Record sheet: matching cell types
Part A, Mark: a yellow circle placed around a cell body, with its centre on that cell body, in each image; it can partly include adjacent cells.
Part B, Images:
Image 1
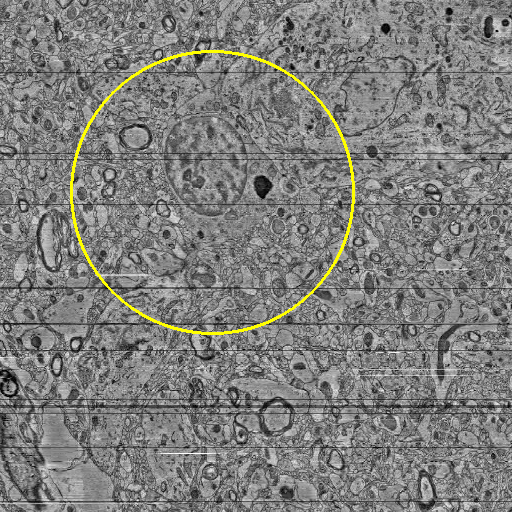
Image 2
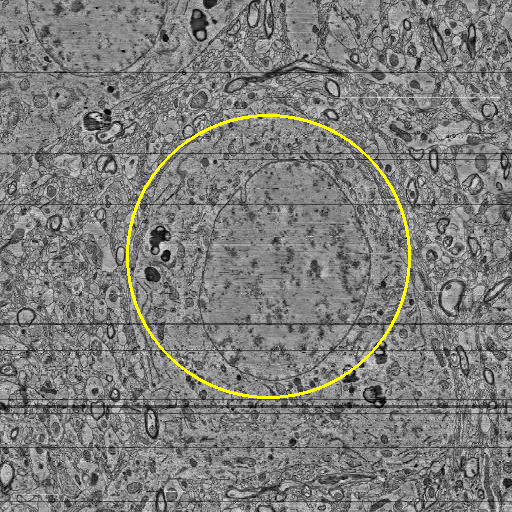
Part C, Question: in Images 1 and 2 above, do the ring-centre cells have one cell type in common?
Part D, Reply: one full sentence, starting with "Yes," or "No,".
No, the ring-centre cells of Image 1 and Image 2 are each of a separate cell type.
